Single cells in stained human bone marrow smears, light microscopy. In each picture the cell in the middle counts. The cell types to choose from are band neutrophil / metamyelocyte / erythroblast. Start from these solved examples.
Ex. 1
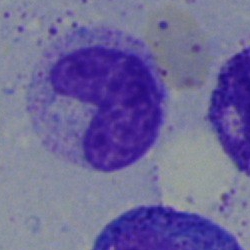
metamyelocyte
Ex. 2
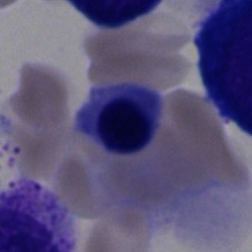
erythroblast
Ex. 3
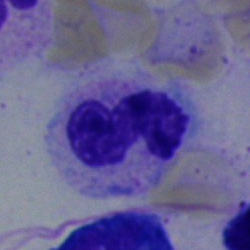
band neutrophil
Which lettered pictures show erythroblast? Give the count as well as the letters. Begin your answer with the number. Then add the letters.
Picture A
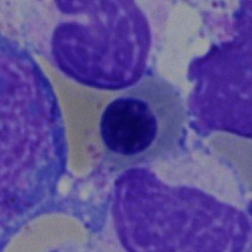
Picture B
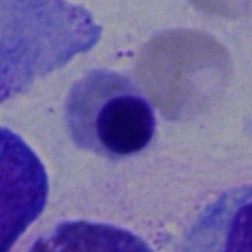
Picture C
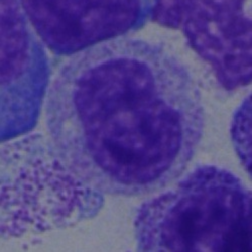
2: A, B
